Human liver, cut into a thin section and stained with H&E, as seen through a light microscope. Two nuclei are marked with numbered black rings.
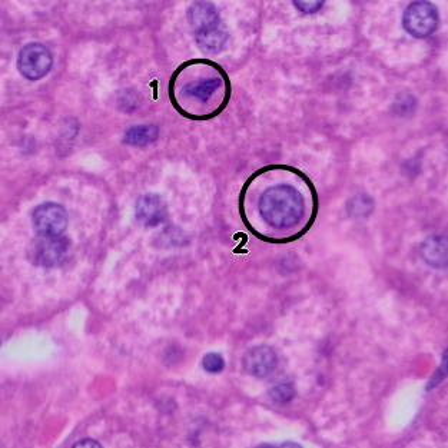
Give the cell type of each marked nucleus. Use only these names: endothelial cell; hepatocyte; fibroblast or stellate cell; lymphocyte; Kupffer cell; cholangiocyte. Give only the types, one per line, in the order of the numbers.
endothelial cell
hepatocyte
